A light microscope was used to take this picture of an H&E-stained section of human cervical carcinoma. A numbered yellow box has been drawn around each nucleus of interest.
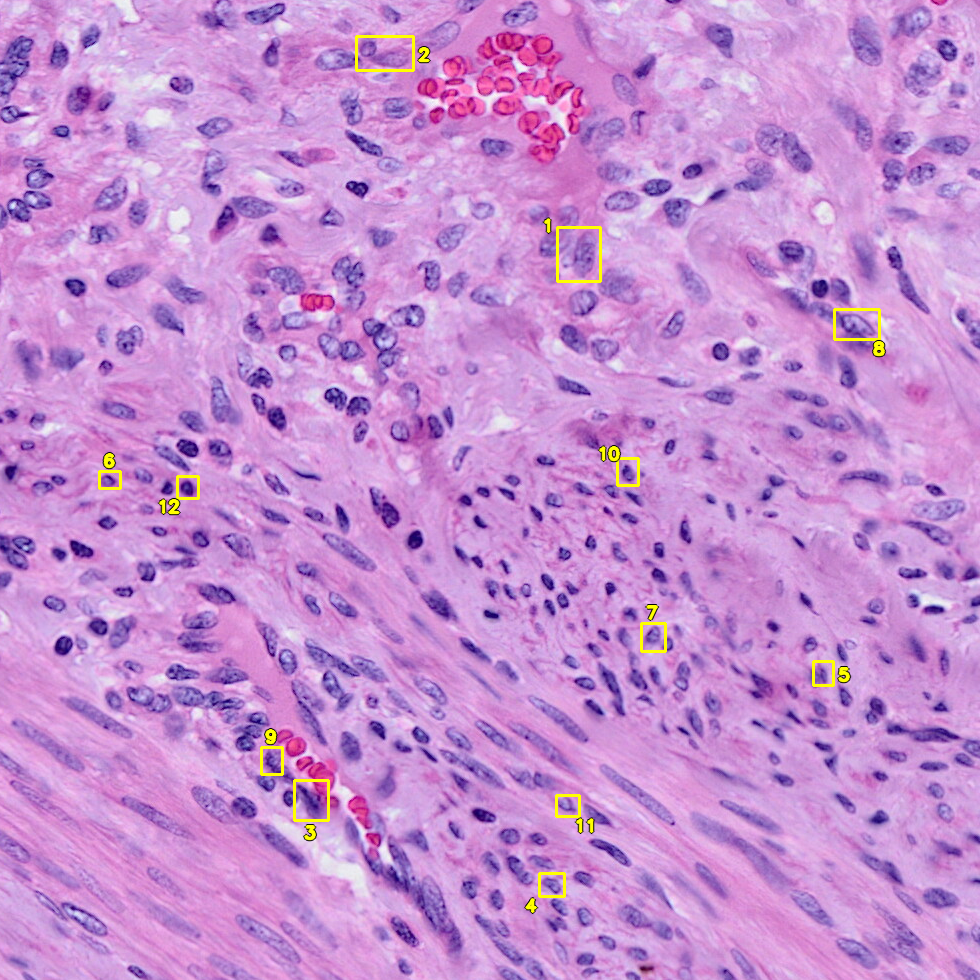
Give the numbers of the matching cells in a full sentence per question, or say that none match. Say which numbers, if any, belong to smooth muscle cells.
The cells with the number labels 4, 5, 6, 7, 10, 11 and 12 are smooth muscle cells.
